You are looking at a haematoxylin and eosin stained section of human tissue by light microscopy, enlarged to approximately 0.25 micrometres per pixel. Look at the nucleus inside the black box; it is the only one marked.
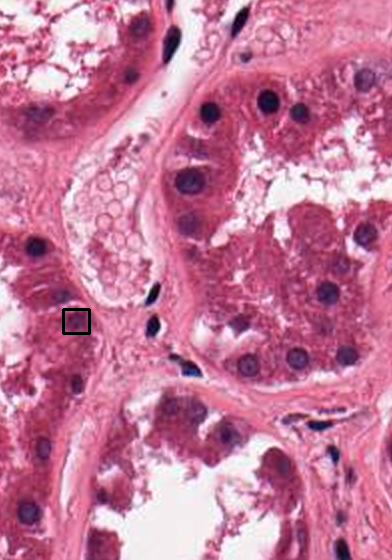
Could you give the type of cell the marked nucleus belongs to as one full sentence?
As shown, the marked nucleus belongs to a proximal tubule cell.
